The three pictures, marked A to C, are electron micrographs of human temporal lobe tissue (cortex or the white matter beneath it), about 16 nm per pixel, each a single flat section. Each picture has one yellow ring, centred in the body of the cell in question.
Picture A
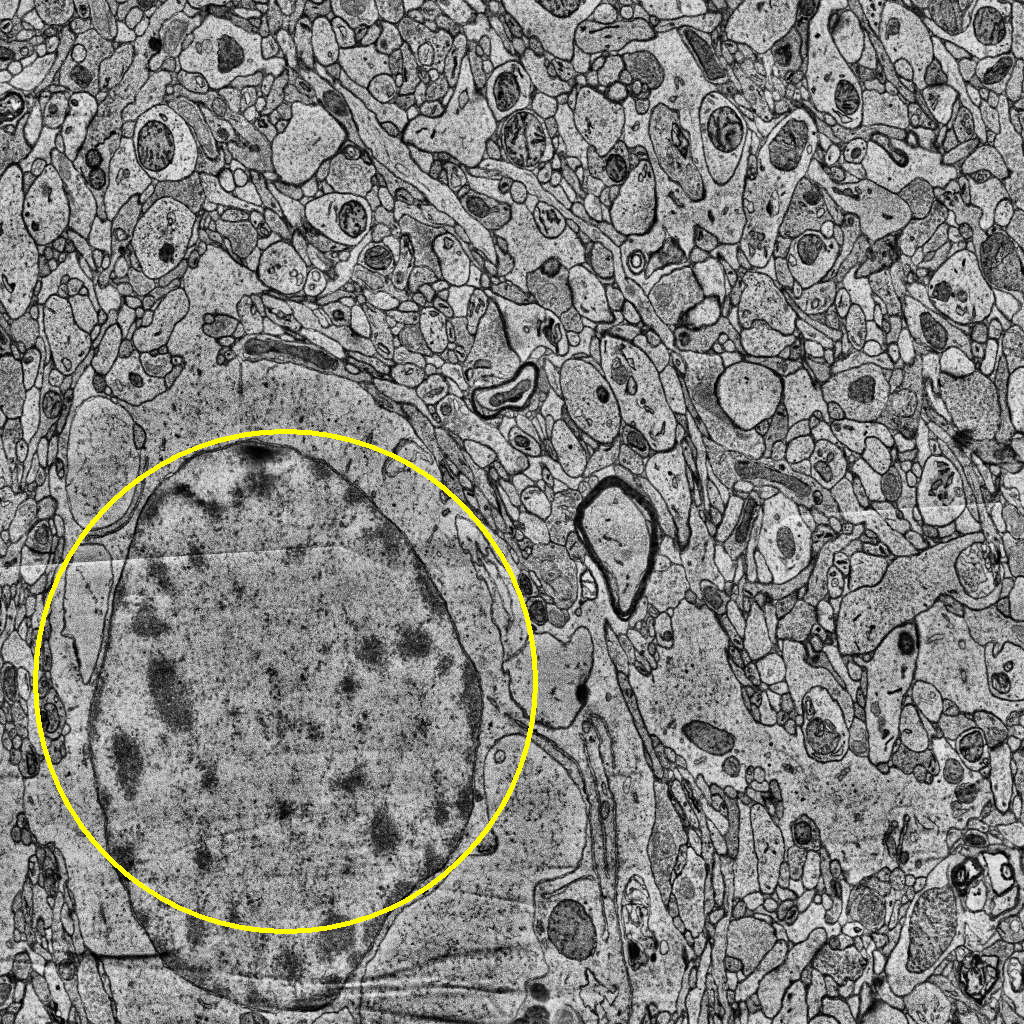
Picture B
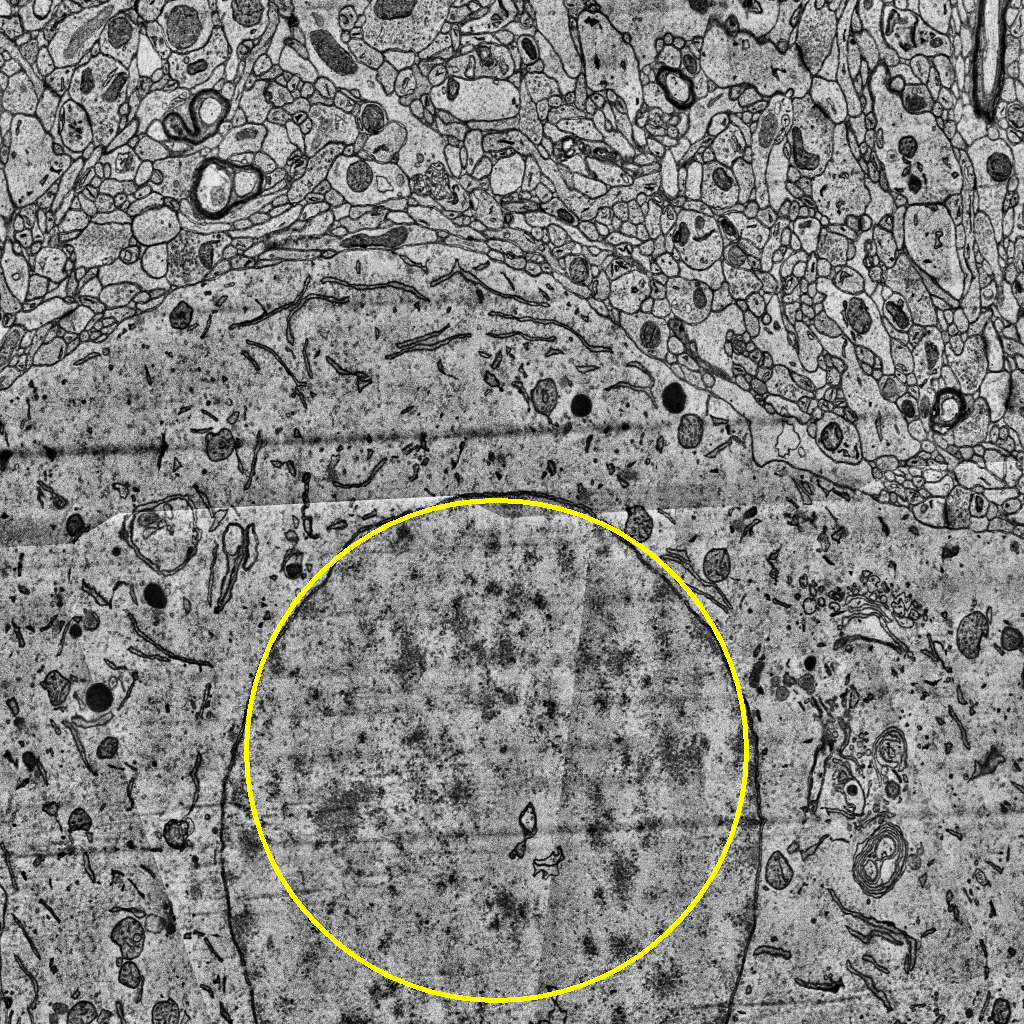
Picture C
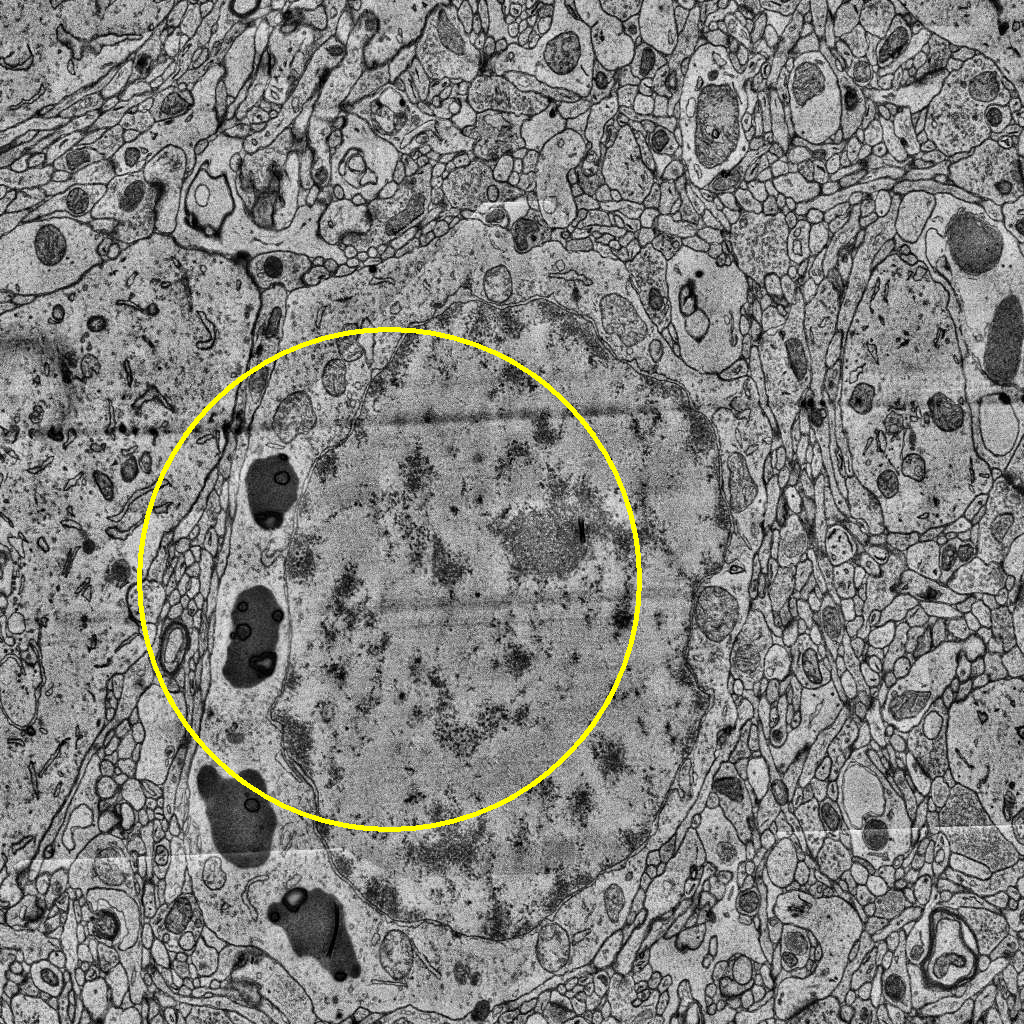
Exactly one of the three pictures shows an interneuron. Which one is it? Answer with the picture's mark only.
C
